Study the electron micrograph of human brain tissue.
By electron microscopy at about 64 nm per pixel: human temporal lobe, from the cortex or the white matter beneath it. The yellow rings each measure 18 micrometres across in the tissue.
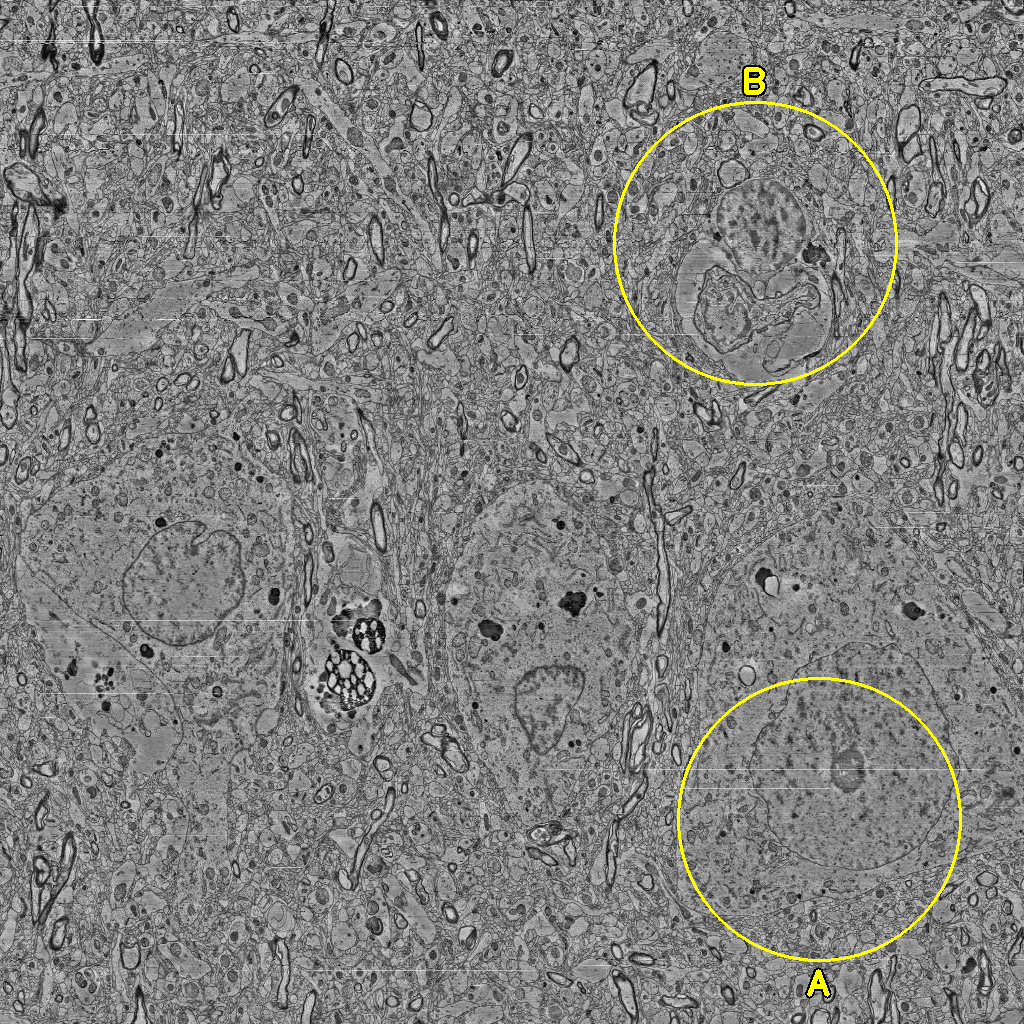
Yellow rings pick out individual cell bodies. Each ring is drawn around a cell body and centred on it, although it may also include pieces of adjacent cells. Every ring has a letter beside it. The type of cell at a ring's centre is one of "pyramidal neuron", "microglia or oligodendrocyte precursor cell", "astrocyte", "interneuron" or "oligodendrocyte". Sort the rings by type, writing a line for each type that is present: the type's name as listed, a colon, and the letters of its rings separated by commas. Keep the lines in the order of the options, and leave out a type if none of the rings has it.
pyramidal neuron: A
oligodendrocyte: B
